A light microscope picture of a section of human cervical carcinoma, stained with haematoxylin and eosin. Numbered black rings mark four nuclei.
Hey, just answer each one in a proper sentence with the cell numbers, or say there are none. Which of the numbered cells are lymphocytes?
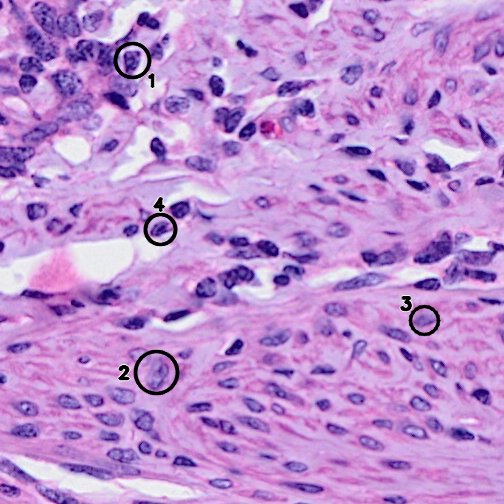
Cells 1 and 4 are lymphocytes by cell type.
